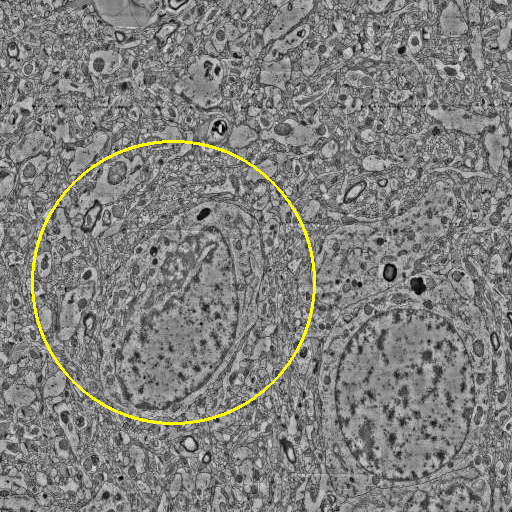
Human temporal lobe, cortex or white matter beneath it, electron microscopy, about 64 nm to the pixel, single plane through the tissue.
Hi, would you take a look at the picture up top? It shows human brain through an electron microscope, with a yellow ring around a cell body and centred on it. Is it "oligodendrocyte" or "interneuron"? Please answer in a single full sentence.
The best fit for the cell in the middle of the ring is an interneuron, I reckon.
